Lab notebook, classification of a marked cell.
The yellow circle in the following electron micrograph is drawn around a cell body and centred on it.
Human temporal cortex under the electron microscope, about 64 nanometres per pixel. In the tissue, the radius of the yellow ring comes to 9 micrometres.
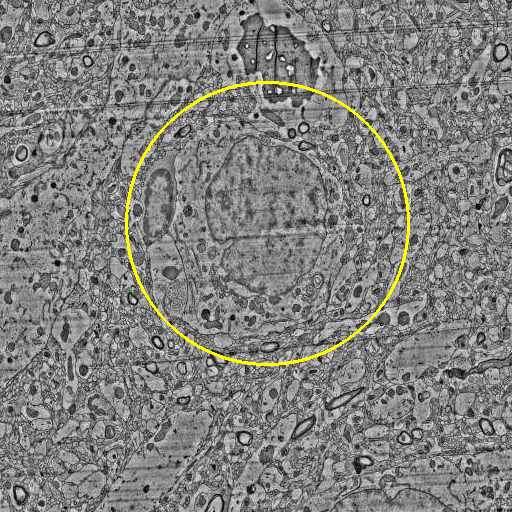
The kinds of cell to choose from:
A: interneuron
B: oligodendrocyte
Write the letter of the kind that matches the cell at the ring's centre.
A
